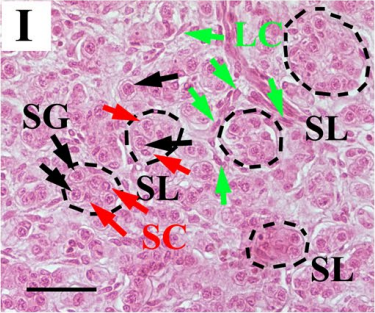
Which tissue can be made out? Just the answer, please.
Testis.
